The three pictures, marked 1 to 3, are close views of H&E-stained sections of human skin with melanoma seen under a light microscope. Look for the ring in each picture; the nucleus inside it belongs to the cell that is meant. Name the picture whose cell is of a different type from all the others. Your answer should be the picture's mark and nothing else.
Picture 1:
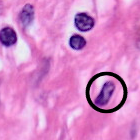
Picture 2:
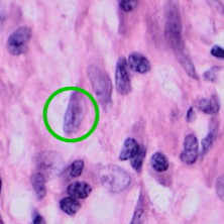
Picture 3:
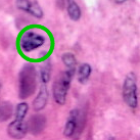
2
